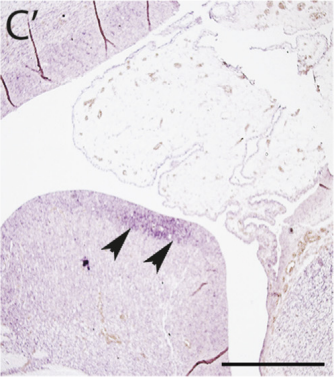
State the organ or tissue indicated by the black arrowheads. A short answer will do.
Basal ganglion.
